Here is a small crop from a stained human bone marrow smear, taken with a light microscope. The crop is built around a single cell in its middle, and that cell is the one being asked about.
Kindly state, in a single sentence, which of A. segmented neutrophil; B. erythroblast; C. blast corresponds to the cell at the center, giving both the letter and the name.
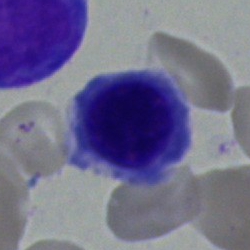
The central cell of the crop is an erythroblast, which makes B the correct option.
